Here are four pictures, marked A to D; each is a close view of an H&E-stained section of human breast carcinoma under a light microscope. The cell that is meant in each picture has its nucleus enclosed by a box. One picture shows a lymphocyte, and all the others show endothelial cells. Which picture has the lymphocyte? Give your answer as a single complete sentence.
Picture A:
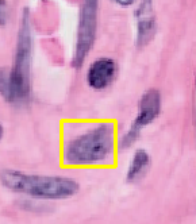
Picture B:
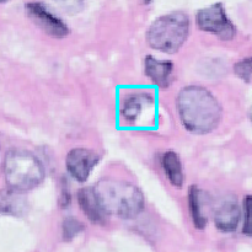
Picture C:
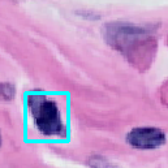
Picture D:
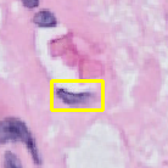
Picture C is the one that shows the lymphocyte.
